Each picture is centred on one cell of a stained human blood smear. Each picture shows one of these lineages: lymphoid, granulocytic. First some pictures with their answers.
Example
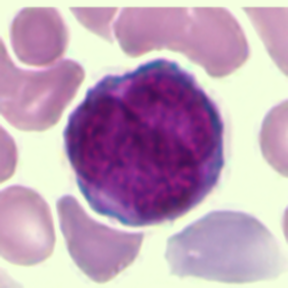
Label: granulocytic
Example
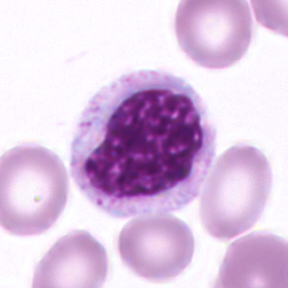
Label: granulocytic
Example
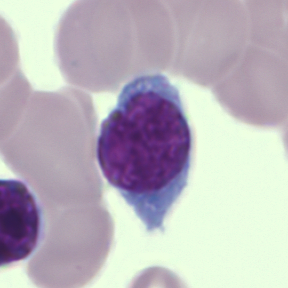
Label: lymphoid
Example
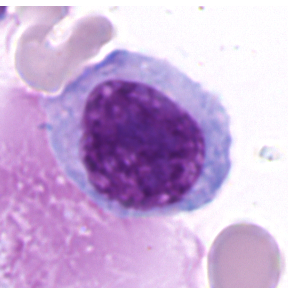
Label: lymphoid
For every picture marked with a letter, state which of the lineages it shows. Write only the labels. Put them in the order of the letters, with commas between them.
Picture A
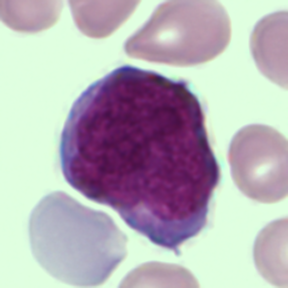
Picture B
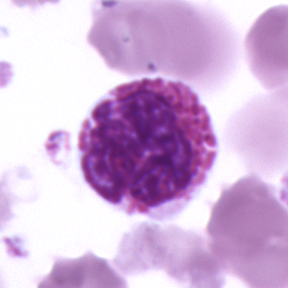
granulocytic, granulocytic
